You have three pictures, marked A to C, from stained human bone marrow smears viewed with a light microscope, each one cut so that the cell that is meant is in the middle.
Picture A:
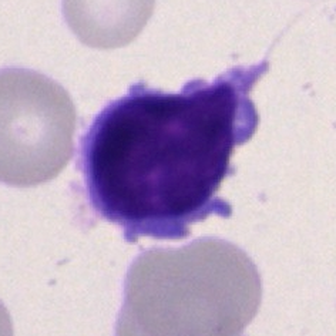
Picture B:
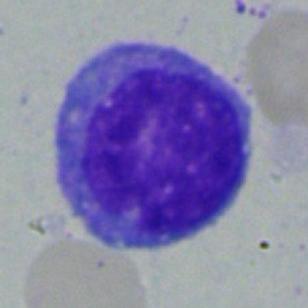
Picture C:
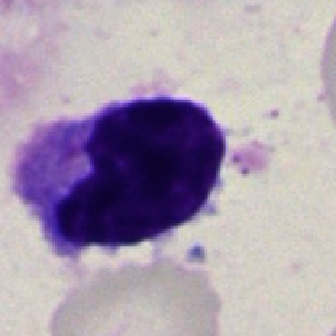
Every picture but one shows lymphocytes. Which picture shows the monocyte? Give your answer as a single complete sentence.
The cell in picture B is the monocyte.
